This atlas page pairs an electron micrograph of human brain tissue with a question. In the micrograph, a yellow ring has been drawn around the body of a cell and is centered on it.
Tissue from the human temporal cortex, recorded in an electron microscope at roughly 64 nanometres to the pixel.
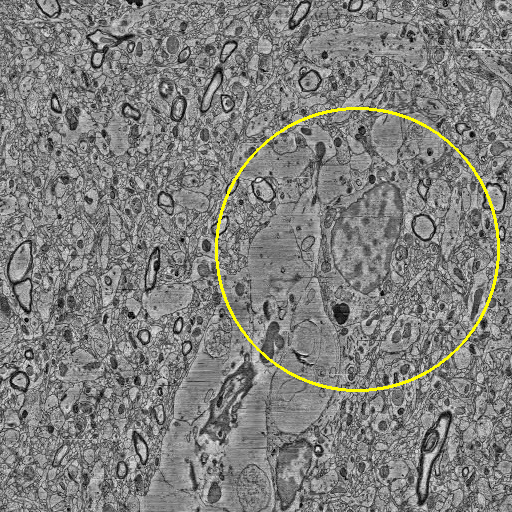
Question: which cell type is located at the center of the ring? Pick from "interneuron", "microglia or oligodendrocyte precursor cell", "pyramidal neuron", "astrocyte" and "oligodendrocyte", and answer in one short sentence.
Located at the center of the ring is an oligodendrocyte.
